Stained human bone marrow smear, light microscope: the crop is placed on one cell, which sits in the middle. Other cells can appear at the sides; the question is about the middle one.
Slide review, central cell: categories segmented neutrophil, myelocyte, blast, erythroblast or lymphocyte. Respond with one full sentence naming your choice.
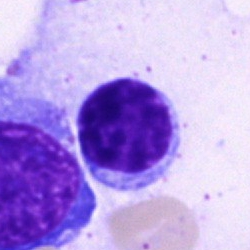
As for the cell in the middle, it is a lymphocyte.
